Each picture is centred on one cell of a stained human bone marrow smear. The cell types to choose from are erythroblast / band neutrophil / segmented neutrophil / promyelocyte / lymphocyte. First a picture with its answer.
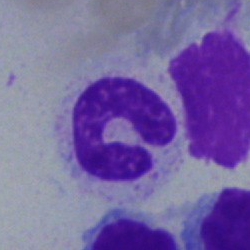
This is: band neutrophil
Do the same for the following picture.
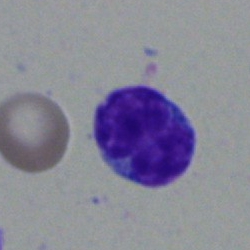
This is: lymphocyte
